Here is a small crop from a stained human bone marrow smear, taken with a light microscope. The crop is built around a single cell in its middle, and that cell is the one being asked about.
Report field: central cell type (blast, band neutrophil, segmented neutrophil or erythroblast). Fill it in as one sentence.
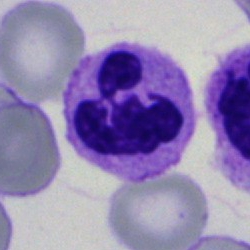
This crop has a segmented neutrophil at its centre.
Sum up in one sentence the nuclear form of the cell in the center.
The nuclear outline breaks up into two or more lobes.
